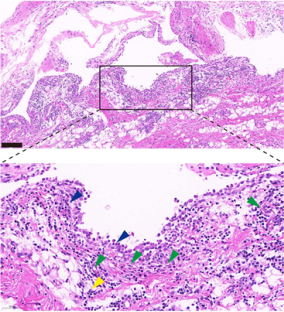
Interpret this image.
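Synovial membrane in which the lining facing the joint space is thickened into several layers of cells. The underlying tissue is densely crowded with small round dark-purple nuclei of inflammatory cells, interspersed with small vessels among pink fibrous stroma.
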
